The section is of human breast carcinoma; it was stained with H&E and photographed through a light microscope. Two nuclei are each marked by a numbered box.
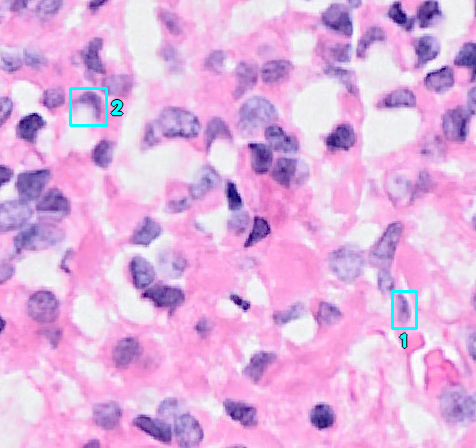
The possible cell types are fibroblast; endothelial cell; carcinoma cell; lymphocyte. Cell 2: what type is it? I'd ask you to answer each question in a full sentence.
Within this field of view, the cell labelled 2 is a carcinoma cell.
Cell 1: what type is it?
Here, the cell given the number 1 is an endothelial cell.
